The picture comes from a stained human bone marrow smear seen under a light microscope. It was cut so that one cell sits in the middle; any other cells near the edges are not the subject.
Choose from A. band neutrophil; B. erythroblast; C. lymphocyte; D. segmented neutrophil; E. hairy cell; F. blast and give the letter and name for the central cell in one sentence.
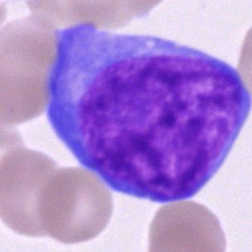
Of the choices given, option F is right, as the central cell is a blast.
